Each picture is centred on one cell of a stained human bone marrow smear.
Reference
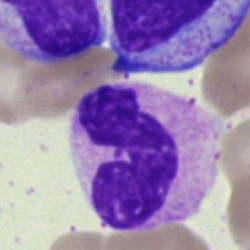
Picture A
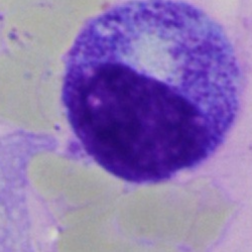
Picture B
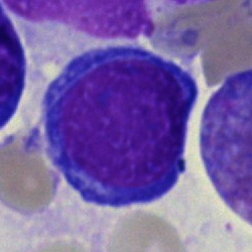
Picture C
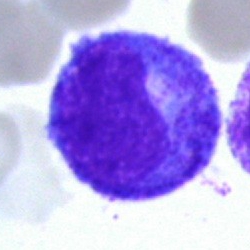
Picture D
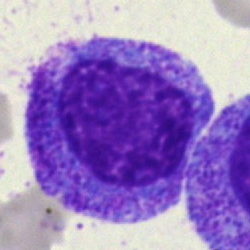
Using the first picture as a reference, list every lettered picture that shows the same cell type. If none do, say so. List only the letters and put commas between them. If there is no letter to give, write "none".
none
